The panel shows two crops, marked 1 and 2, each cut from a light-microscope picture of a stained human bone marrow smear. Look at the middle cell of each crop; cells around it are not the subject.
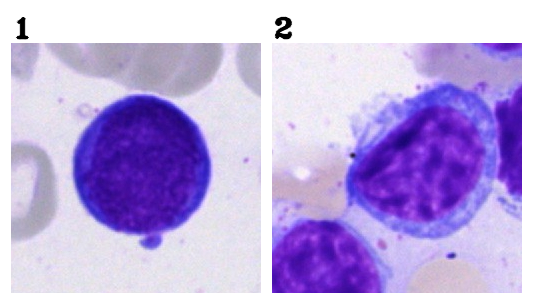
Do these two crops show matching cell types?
no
